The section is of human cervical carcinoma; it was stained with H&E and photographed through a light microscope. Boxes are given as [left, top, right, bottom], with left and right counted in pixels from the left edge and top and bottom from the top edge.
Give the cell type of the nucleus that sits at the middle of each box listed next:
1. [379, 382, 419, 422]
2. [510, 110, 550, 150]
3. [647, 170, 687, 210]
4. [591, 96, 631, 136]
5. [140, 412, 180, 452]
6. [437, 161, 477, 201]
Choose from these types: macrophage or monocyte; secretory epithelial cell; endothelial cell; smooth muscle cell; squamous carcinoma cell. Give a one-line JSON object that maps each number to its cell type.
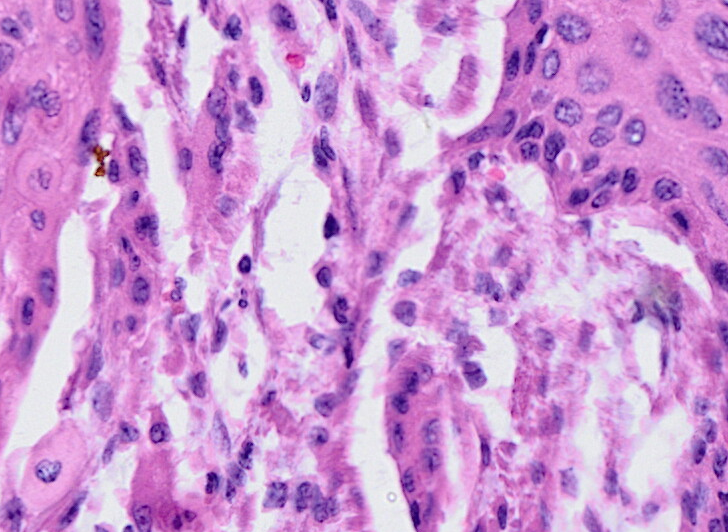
{"1": "squamous carcinoma cell", "2": "squamous carcinoma cell", "3": "squamous carcinoma cell", "4": "squamous carcinoma cell", "5": "macrophage or monocyte", "6": "macrophage or monocyte"}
